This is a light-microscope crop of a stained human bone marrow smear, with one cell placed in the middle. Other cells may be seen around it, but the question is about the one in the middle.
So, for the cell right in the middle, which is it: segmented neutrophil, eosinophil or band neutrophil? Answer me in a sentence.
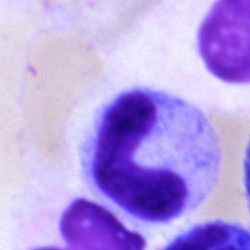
The cell centered in this field of view is a band neutrophil.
